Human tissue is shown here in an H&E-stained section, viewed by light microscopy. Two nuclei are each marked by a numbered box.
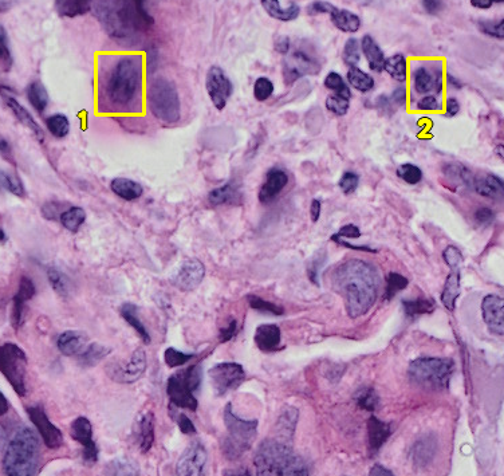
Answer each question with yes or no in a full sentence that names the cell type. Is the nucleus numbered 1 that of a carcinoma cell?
Yes, it is a carcinoma cell that carries the number 1.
